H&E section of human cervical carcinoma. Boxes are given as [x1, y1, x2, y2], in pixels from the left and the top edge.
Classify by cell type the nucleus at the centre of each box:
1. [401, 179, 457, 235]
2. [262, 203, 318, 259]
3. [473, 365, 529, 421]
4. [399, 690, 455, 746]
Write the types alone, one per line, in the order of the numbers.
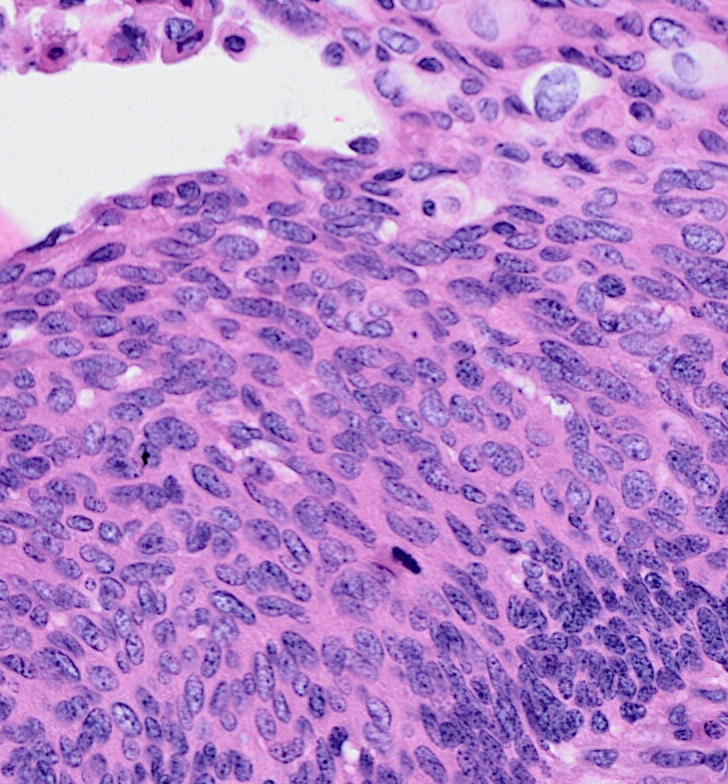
lymphocyte
squamous carcinoma cell
squamous carcinoma cell
squamous carcinoma cell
